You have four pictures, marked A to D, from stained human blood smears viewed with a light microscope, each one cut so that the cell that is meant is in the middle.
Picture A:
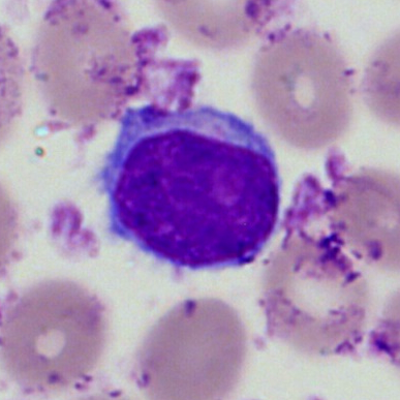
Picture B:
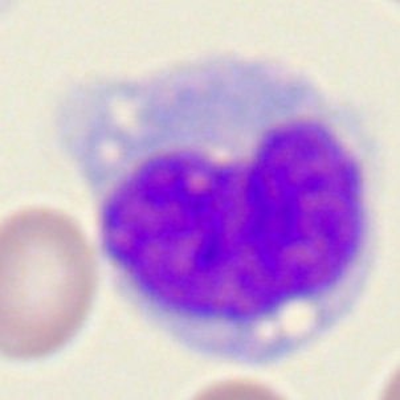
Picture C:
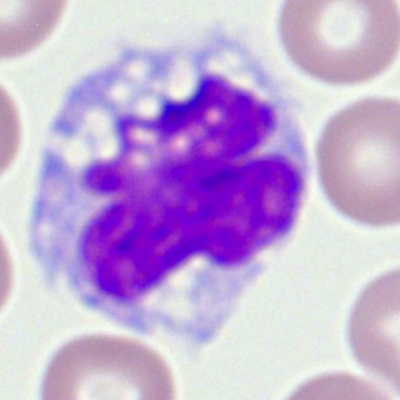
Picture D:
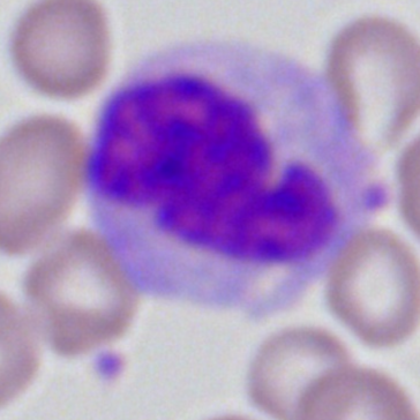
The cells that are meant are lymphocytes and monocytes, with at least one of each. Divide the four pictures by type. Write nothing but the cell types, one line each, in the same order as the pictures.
lymphocyte
monocyte
monocyte
monocyte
